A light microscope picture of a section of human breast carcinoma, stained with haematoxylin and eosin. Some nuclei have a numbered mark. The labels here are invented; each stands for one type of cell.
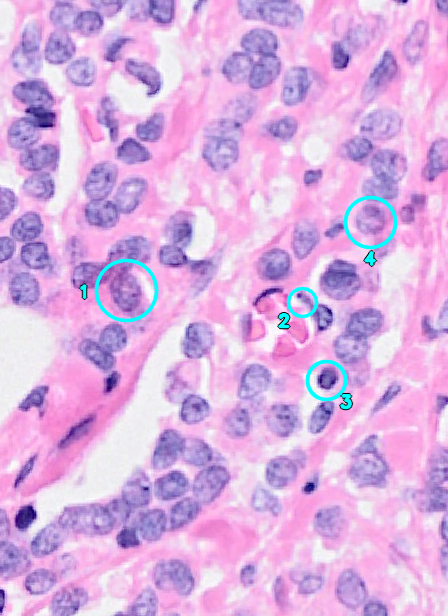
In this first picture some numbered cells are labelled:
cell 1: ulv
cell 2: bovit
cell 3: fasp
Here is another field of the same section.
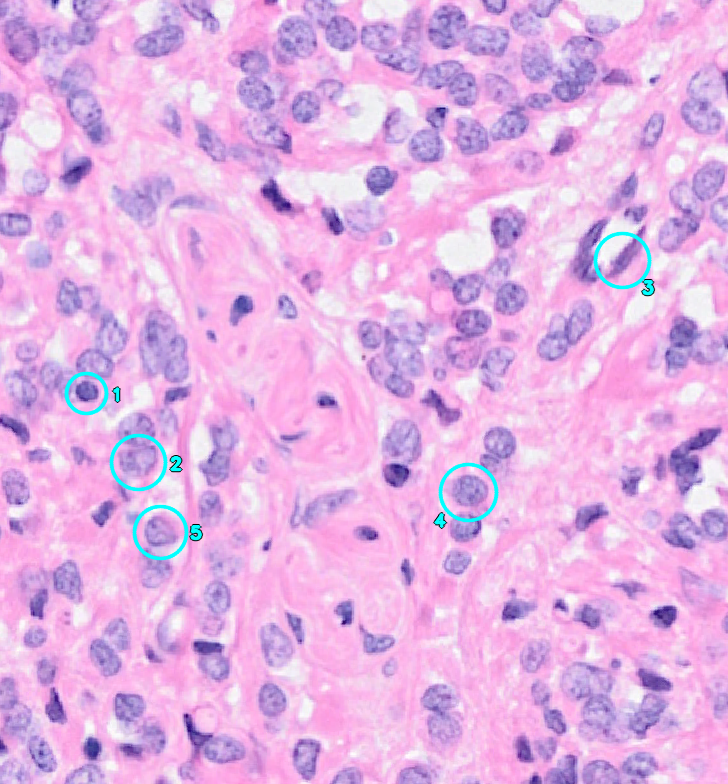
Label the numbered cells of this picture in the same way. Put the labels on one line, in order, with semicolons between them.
fasp; ulv; bovit; ulv; ulv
